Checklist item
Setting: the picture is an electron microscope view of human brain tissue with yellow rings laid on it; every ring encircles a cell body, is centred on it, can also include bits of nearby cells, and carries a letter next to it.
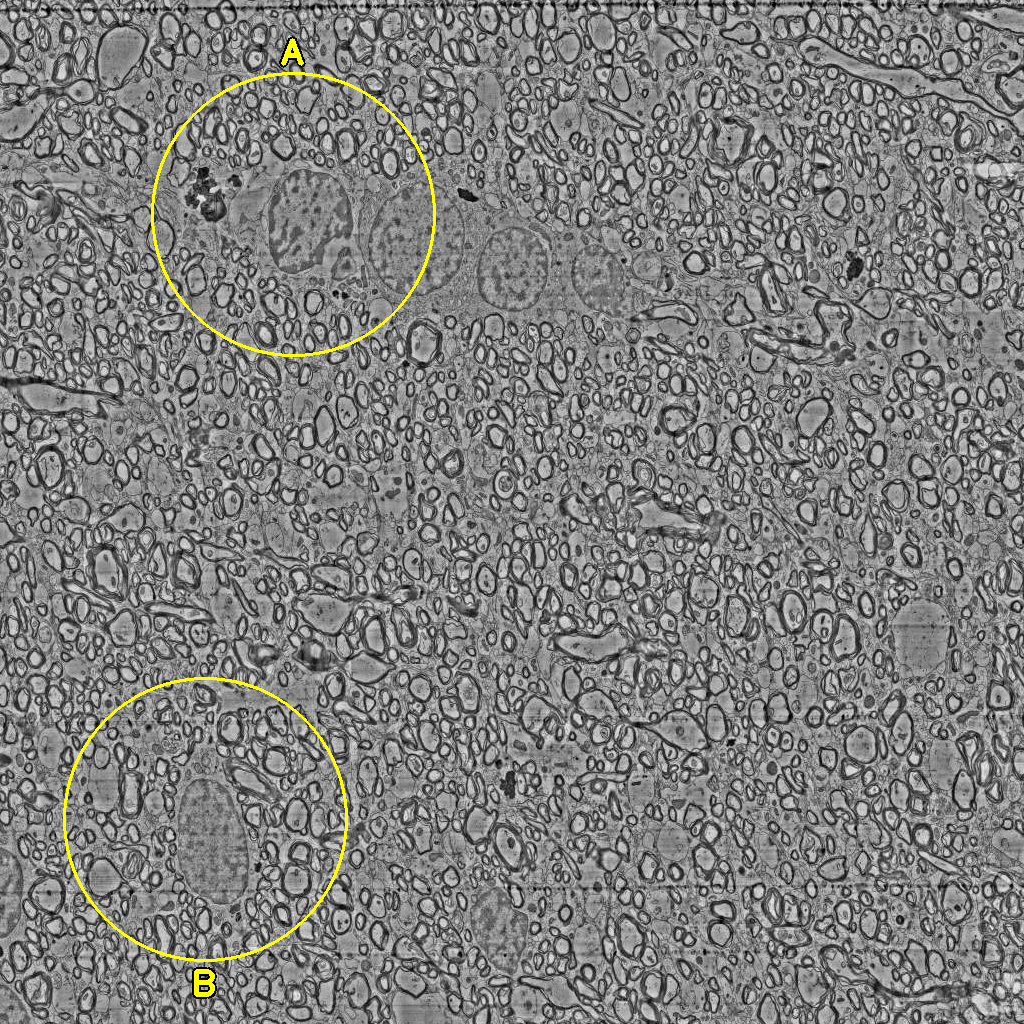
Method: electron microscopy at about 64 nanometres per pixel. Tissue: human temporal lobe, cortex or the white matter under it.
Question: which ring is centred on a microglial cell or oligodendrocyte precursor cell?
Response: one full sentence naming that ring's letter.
My response is that ring A has the sought cell at its centre.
